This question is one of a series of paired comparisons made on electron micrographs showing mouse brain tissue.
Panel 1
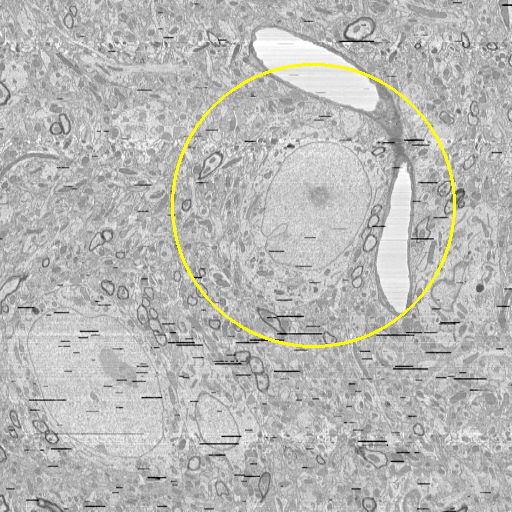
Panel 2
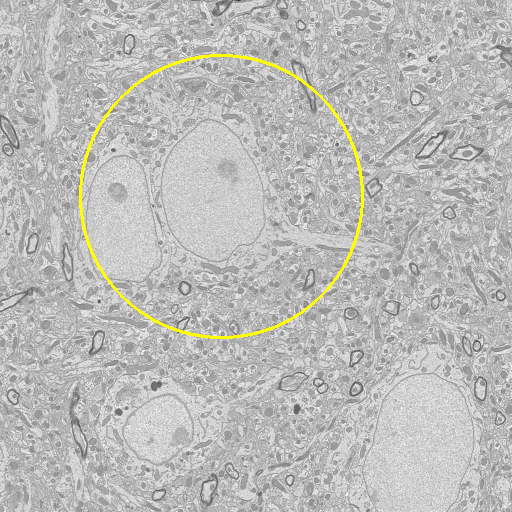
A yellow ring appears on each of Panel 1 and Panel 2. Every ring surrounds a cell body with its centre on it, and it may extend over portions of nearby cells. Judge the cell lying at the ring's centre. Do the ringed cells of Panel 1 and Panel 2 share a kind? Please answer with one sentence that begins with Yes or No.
Yes, the ring-centre cell in Panel 1 and the one in Panel 2 are of one kind.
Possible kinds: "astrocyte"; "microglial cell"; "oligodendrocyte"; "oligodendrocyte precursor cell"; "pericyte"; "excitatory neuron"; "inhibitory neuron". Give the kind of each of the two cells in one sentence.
Each of the two cells is an excitatory neuron.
